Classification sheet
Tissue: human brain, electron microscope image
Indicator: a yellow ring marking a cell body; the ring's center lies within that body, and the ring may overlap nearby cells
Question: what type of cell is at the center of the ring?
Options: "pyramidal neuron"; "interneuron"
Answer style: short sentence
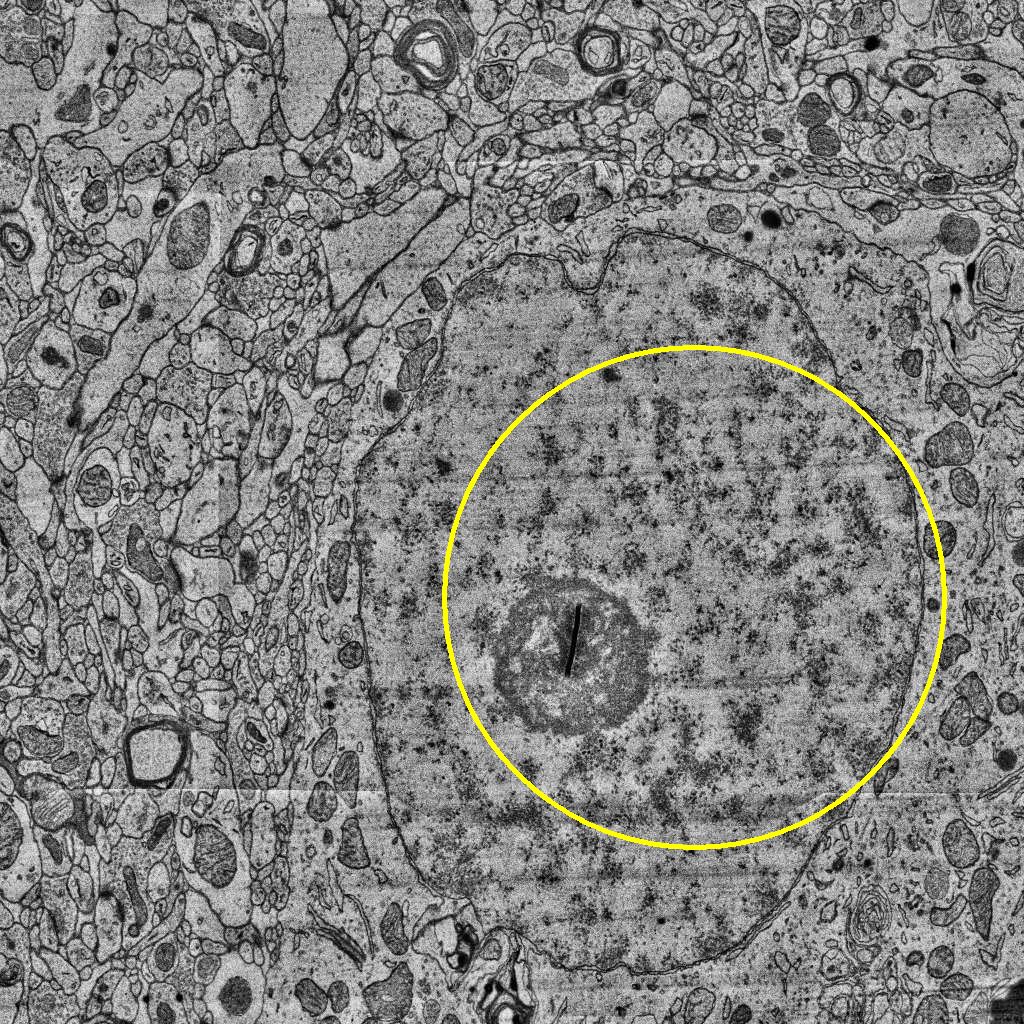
At the ring's center is an interneuron.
